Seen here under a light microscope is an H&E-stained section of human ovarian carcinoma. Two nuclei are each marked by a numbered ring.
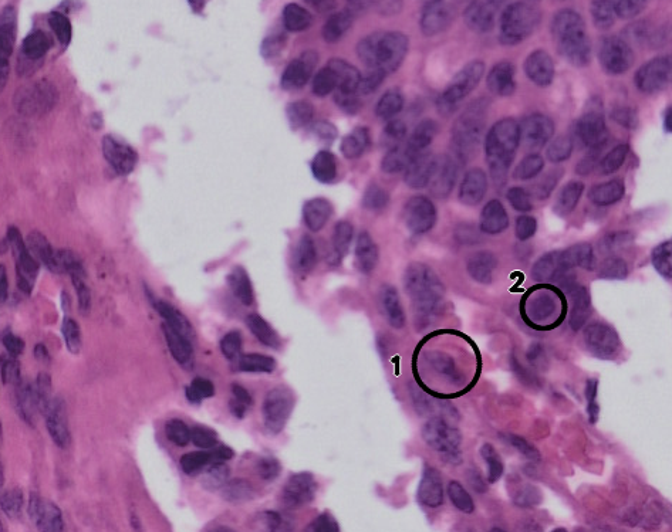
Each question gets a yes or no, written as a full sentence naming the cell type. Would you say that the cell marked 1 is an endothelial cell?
Yes, an endothelial cell is what the cell numbered 1 is.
